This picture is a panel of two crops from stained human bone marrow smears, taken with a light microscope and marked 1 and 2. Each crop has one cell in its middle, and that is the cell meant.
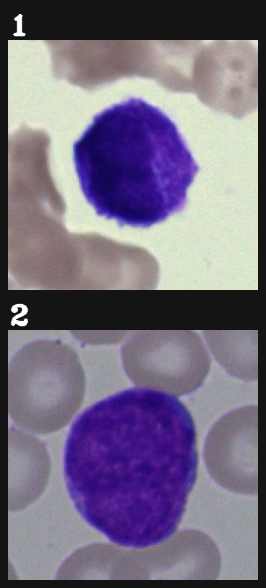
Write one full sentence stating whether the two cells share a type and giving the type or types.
Yes, that holds, both crops show blasts.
